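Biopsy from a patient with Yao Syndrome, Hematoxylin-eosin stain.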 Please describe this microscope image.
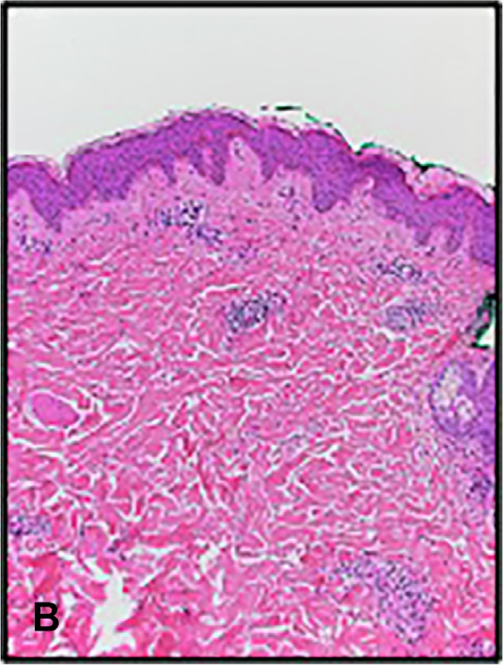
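A stratified squamous epithelium with an undulating lower border overlies pink, dense collagenous connective tissue. Small, scattered groups of cells with dark, round nuclei sit in the upper connective tissue below the epithelium and around small vessels, forming a sparse superficial infiltrate. A few appendage structures appear at the edges of the field.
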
